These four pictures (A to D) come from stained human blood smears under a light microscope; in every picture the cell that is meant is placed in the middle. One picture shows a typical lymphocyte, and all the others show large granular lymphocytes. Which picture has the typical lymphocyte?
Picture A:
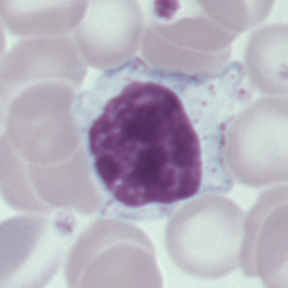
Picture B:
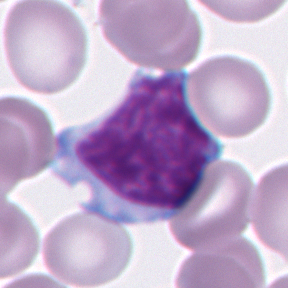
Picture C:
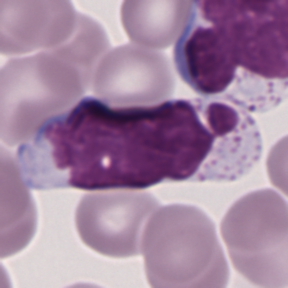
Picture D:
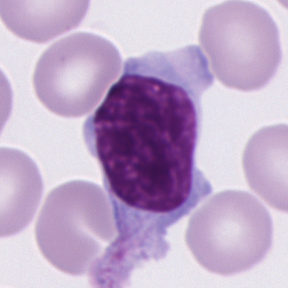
B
